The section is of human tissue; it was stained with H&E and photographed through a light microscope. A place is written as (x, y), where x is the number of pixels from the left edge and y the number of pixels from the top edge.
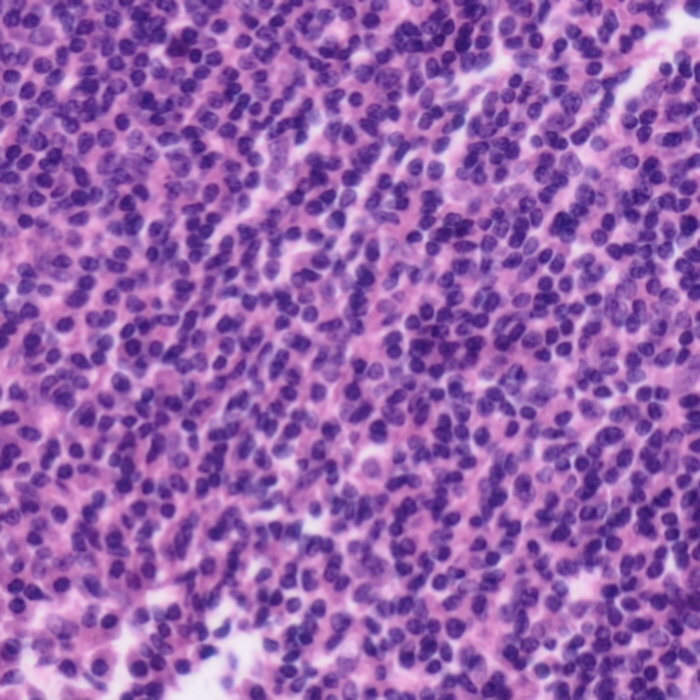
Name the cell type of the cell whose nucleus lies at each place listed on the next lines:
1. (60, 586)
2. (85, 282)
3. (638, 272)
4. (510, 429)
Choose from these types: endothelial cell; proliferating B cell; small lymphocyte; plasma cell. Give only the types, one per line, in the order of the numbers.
plasma cell
small lymphocyte
small lymphocyte
small lymphocyte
